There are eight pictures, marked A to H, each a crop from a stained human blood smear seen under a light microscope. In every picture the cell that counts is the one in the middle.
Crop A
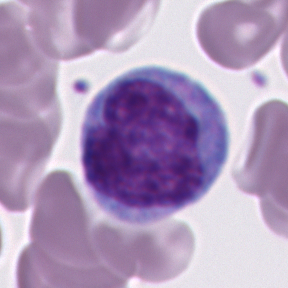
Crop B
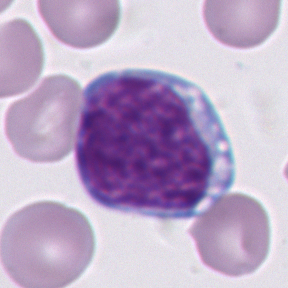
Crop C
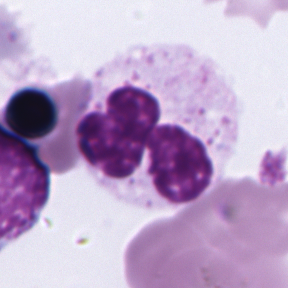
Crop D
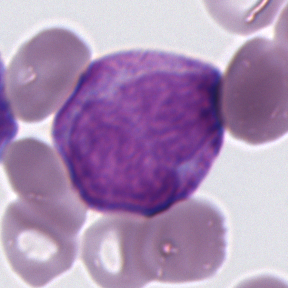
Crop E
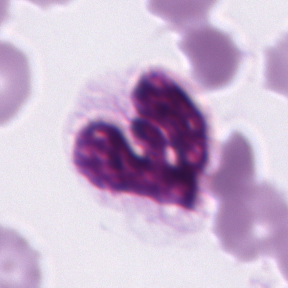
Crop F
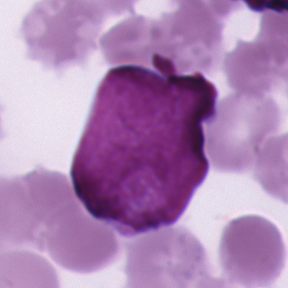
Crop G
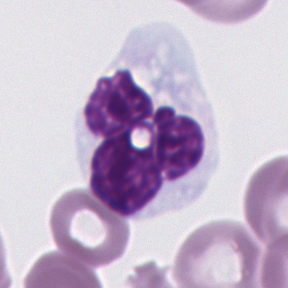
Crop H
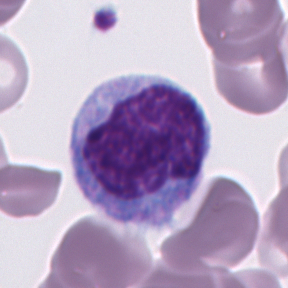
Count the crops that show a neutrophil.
3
